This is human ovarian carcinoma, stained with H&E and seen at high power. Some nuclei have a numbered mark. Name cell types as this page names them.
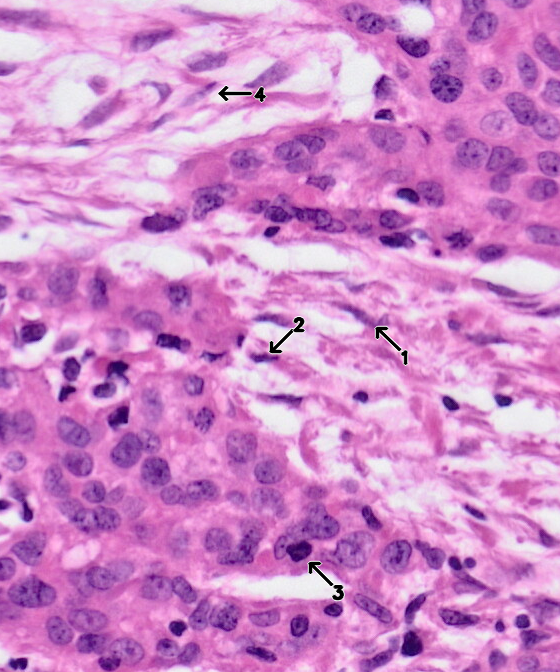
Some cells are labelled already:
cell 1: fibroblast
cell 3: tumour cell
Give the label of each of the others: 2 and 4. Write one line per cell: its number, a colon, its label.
2: fibroblast
4: fibroblast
